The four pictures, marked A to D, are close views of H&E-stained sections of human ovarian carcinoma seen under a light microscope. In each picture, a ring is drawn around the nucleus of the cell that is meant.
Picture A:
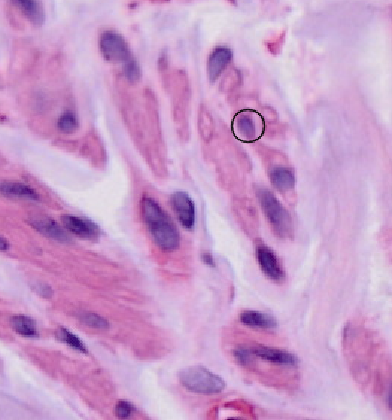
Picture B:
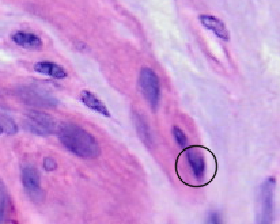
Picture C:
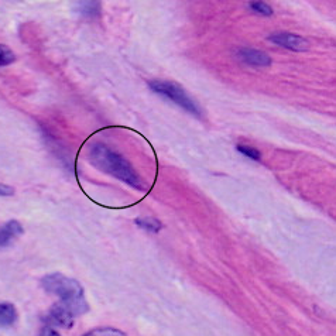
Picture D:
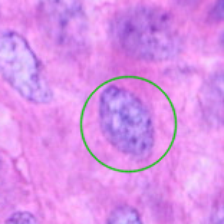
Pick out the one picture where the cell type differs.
D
